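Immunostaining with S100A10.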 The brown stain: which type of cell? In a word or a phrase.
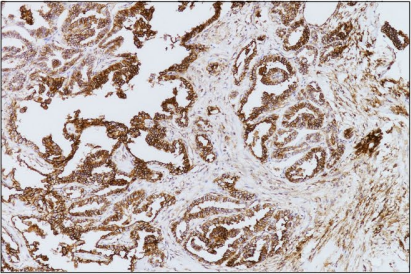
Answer: tumor cells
